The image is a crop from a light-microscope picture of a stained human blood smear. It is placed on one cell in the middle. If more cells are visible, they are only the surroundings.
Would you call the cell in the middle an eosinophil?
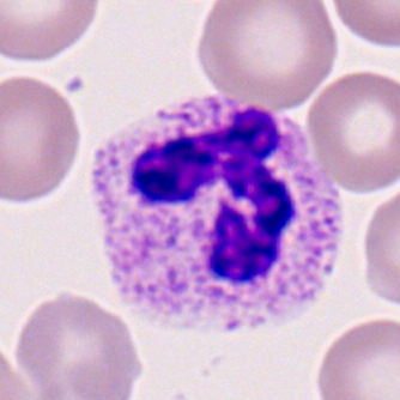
no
